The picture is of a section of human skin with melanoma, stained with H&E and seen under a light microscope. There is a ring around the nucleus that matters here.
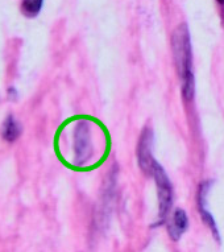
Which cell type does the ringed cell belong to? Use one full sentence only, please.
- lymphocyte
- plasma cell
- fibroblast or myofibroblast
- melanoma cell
It is as a fibroblast or myofibroblast that the ringed cell is recorded.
